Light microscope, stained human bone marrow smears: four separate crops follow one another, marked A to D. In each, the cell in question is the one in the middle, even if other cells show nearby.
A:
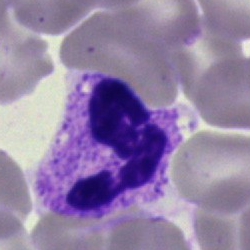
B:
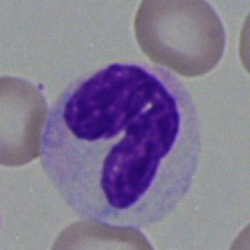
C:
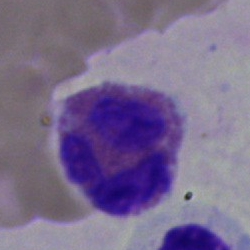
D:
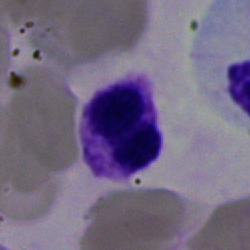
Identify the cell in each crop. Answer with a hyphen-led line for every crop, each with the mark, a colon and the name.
- A: segmented neutrophil
- B: segmented neutrophil
- C: eosinophil
- D: basophil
